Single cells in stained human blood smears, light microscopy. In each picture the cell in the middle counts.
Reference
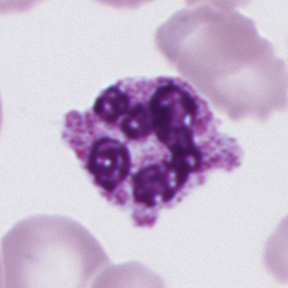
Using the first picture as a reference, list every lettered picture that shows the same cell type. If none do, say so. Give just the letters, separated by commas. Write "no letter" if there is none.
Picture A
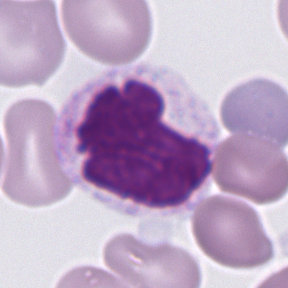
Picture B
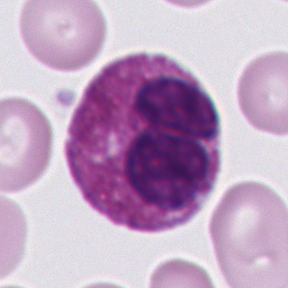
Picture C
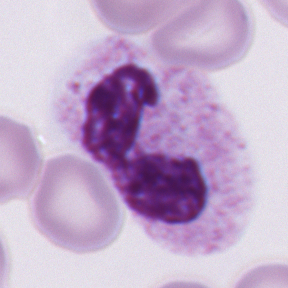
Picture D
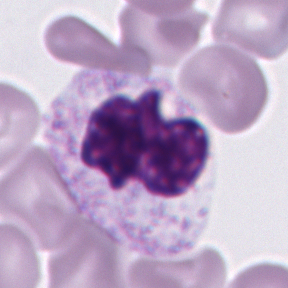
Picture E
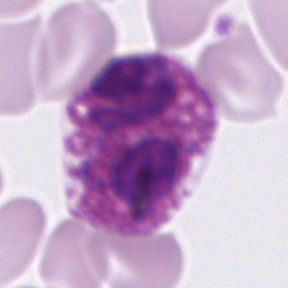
A, C, D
